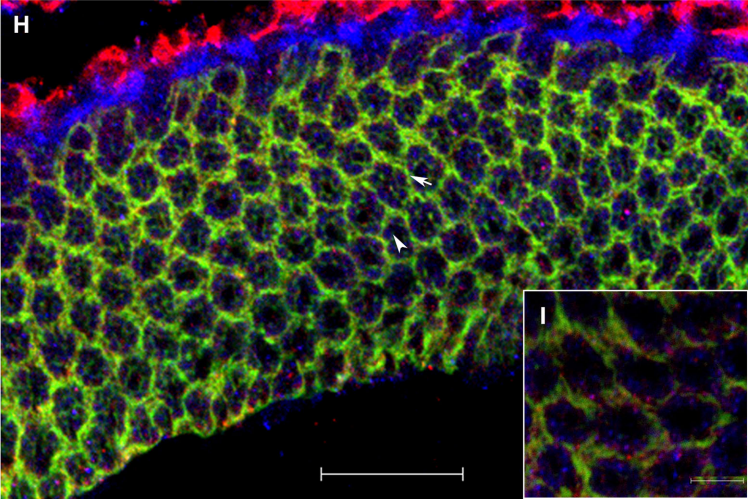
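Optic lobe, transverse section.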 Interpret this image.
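A cross-section shows a tightly packed, regular honeycomb of roughly round units, each ringed by a green outline around a darker core holding small purple-blue profiles. The green rims of neighbouring units touch, so the green forms a continuous lattice across the field. Along the upper edge runs a band of blue with patches of red lying outside it. The uniform repeating units are the cartridges of the lamina seen end on, the green lattice being the glia that wrap each cartridge and the profiles inside being photoreceptor terminals.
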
